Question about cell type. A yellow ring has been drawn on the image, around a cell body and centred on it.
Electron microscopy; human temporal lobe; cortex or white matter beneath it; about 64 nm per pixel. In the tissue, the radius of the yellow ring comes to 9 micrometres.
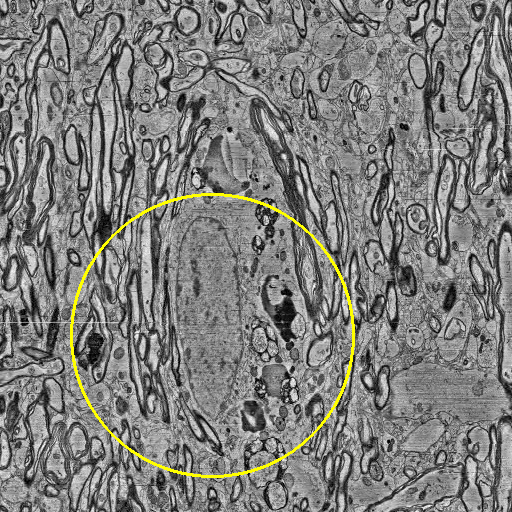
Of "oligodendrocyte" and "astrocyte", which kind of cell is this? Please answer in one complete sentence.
At the centre of the ring lies an astrocyte.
